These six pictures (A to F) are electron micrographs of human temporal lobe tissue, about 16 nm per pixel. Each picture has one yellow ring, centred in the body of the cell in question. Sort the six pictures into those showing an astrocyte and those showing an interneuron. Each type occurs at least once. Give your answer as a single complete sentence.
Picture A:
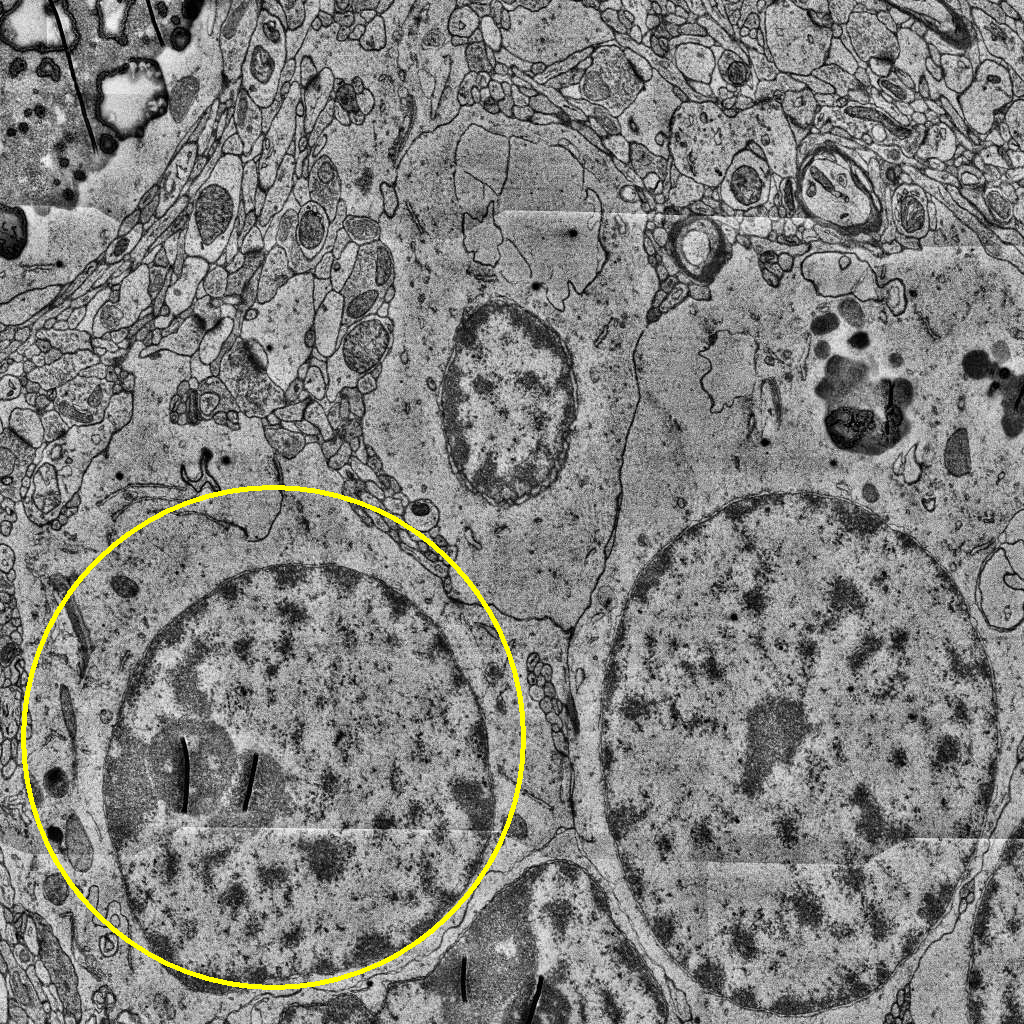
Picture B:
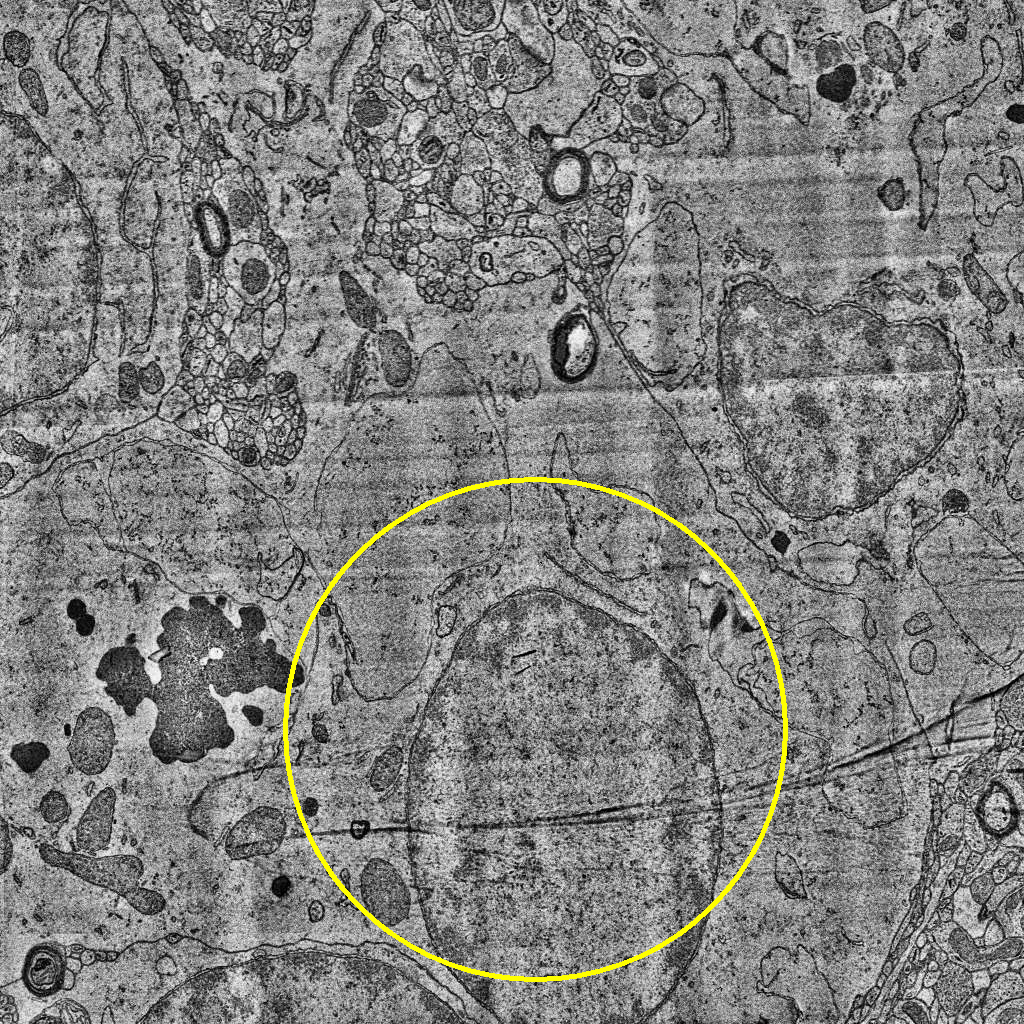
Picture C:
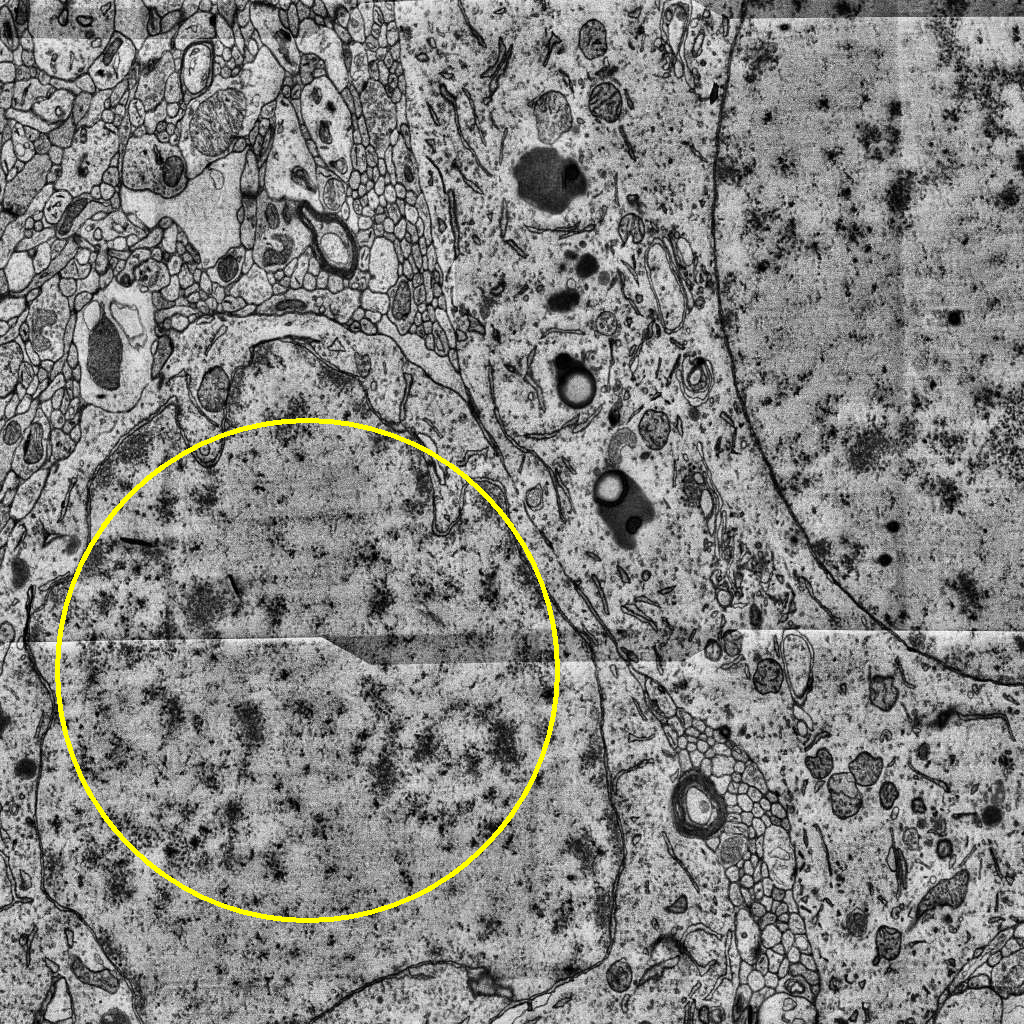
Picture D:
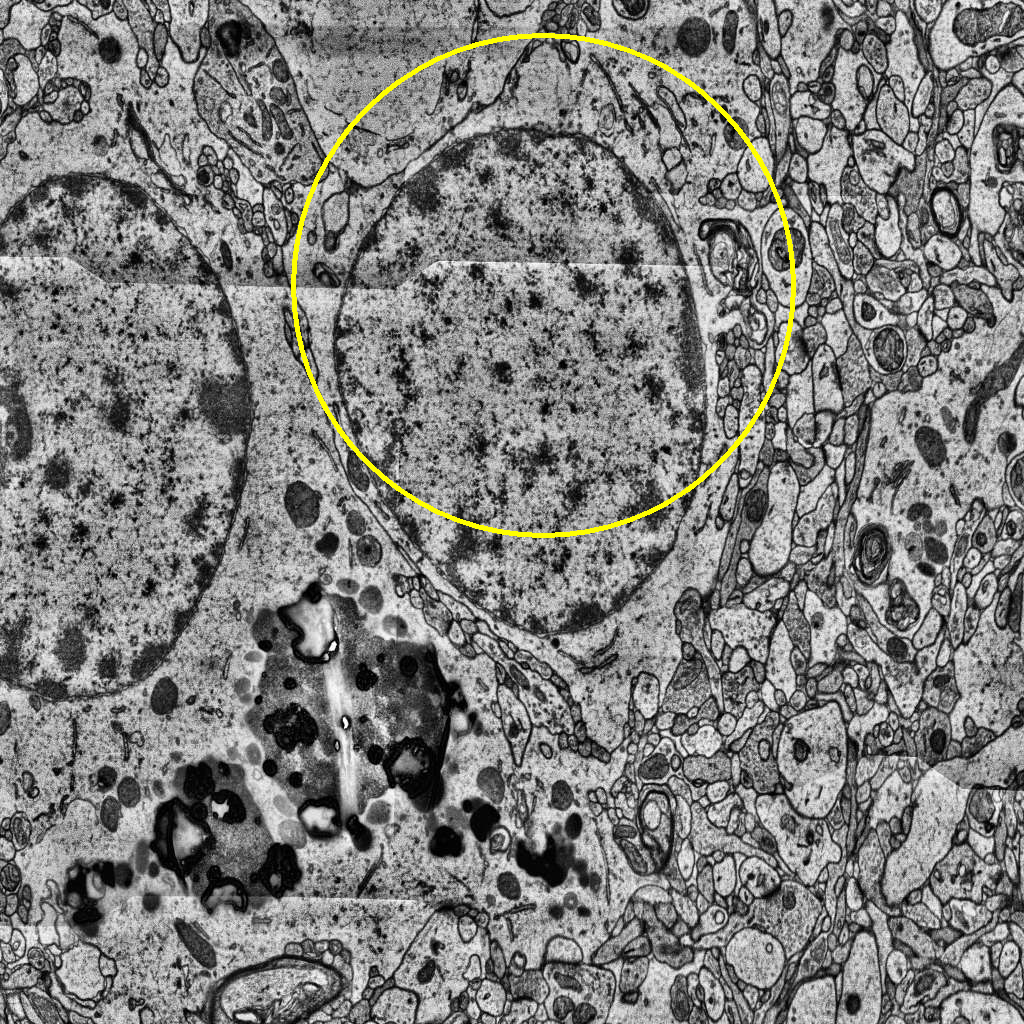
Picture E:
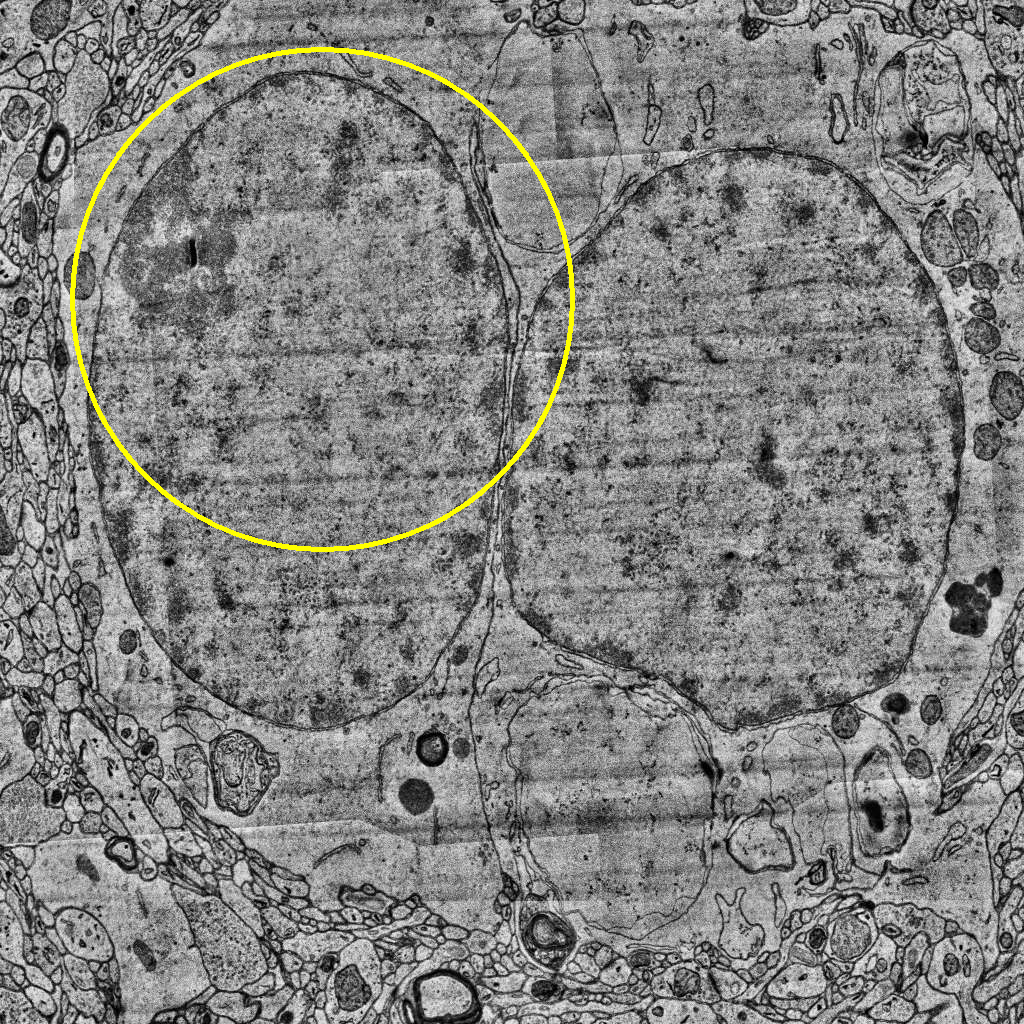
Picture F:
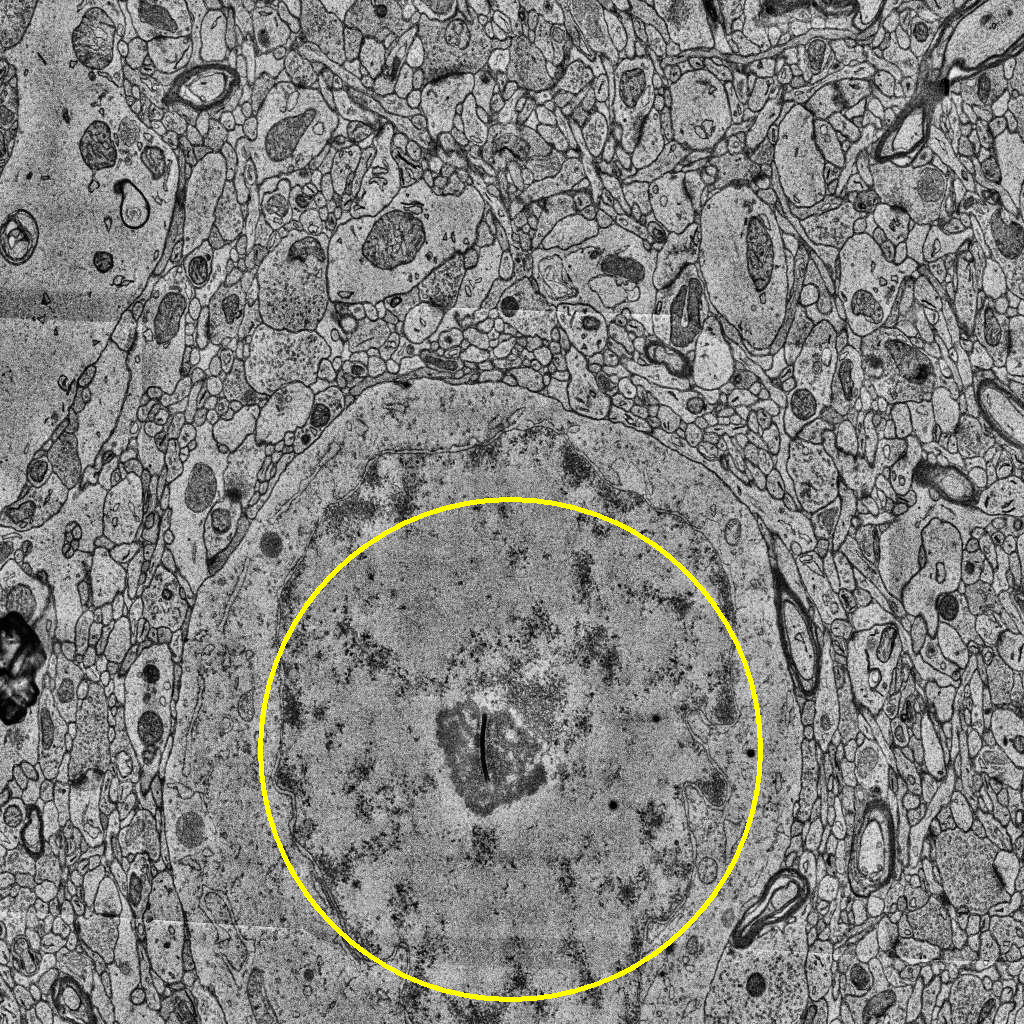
Pictures A, B, D and E show astrocytes, and pictures C and F show interneurons.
